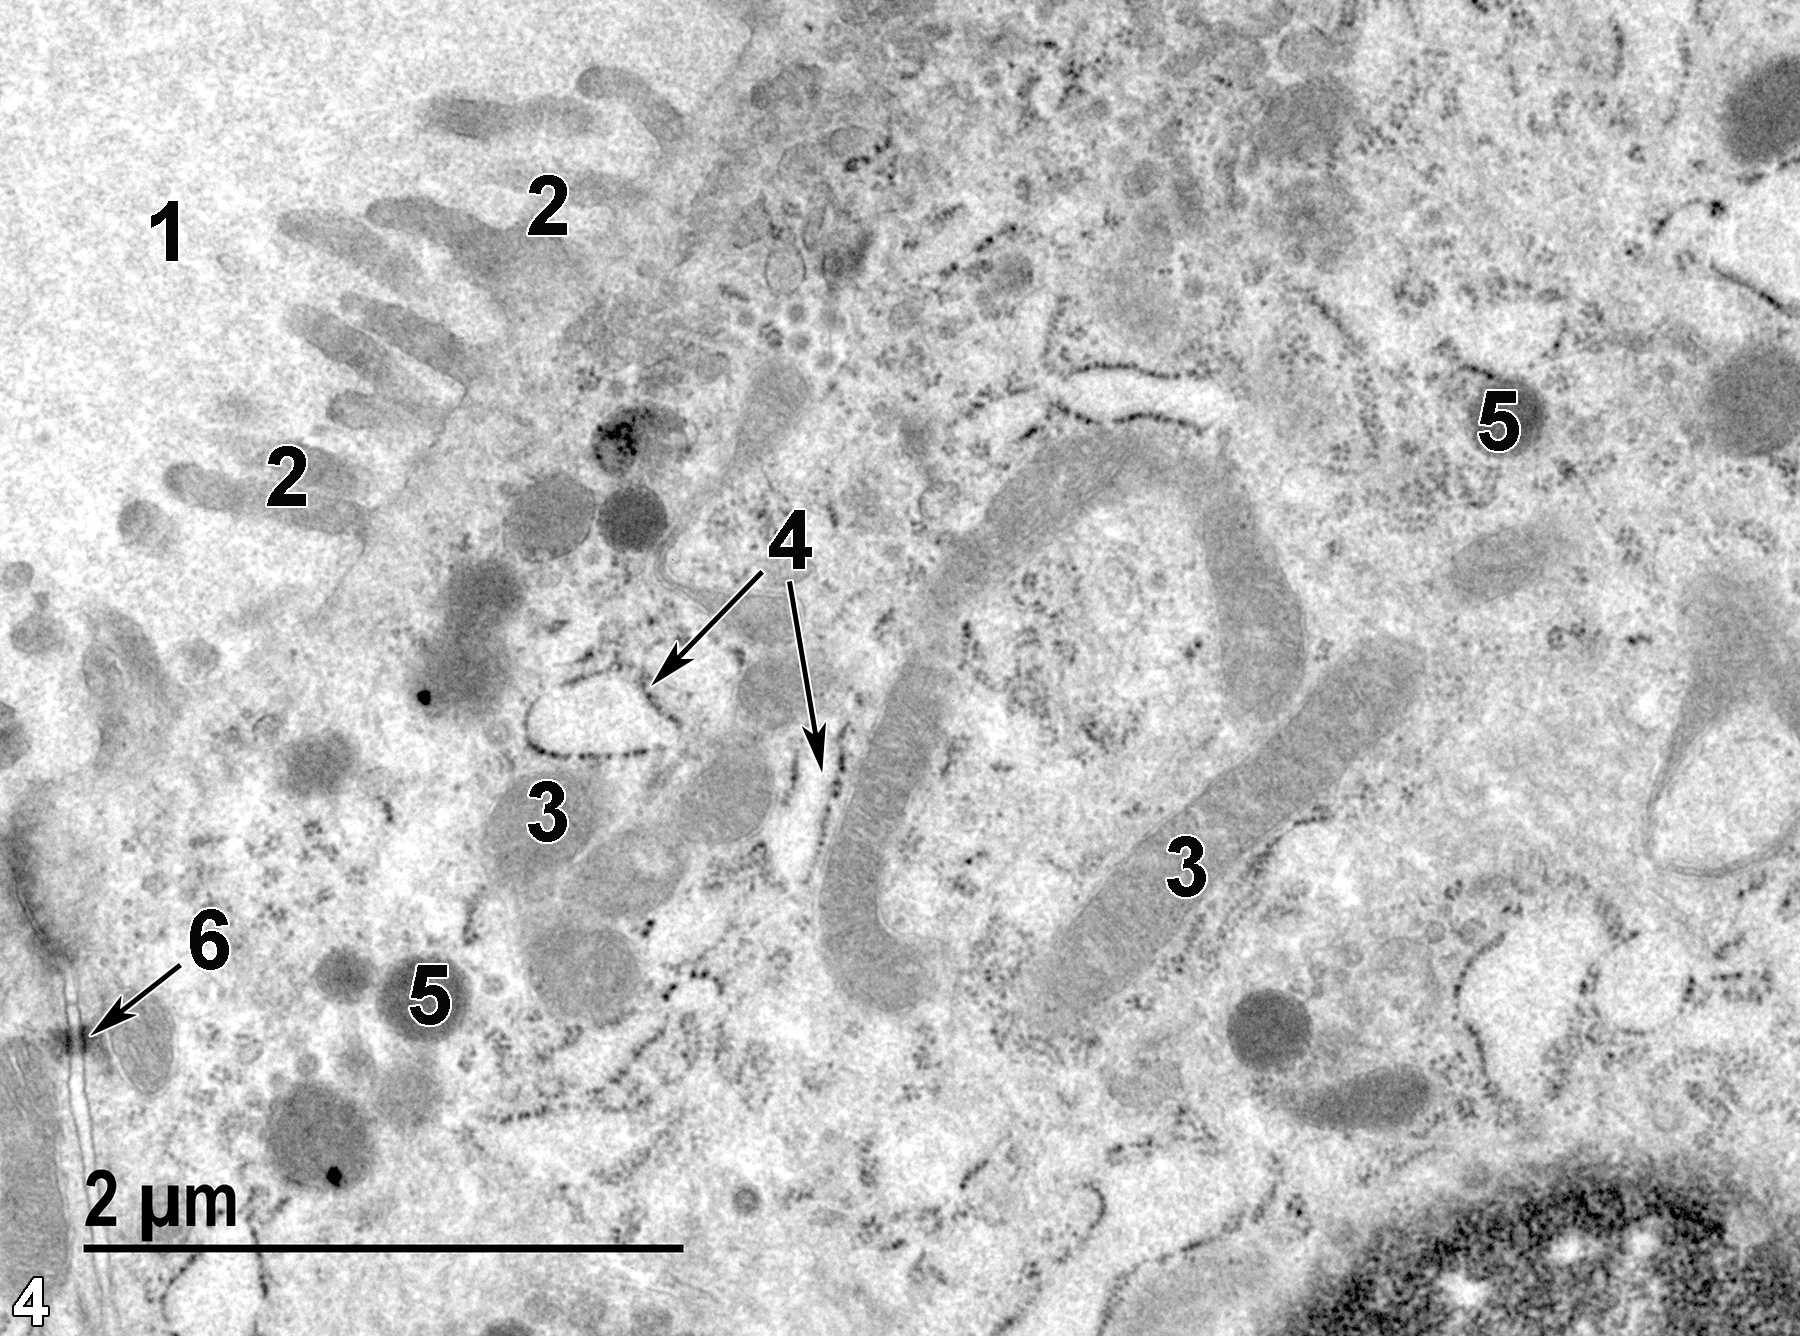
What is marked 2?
microvilli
